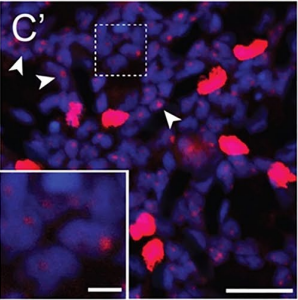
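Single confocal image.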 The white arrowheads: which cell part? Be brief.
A: small nucleolus-like dots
